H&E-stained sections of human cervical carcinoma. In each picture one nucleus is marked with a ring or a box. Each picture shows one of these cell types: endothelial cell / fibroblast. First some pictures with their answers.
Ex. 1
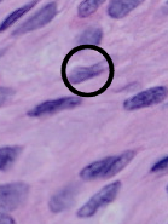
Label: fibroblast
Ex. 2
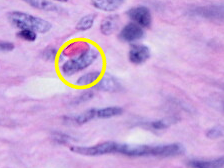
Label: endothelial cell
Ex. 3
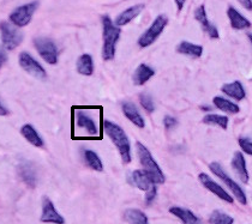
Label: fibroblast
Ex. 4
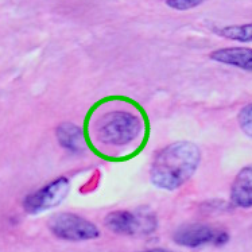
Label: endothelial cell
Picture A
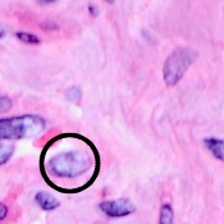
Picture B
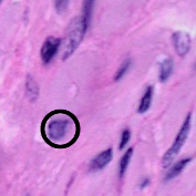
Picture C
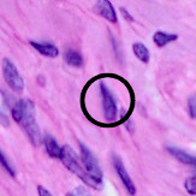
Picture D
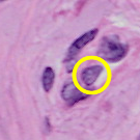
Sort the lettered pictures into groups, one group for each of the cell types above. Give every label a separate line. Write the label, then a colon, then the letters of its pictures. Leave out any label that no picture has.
endothelial cell: A, D
fibroblast: B, C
